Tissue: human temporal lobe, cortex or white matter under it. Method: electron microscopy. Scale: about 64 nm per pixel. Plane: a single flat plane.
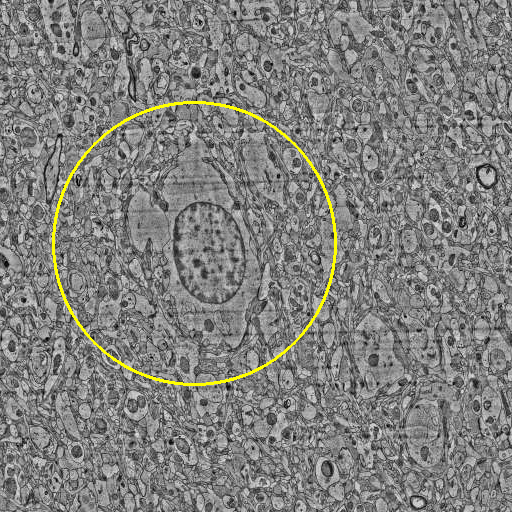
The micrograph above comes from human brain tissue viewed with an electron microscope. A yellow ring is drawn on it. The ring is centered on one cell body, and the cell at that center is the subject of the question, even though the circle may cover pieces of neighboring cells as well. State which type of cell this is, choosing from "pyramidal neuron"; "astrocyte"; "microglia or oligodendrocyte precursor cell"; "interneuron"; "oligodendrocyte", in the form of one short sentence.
The cell the ring is centered on is an astrocyte.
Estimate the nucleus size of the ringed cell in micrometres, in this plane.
Roughly 7 micrometres by 4 micrometres, in this plane.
